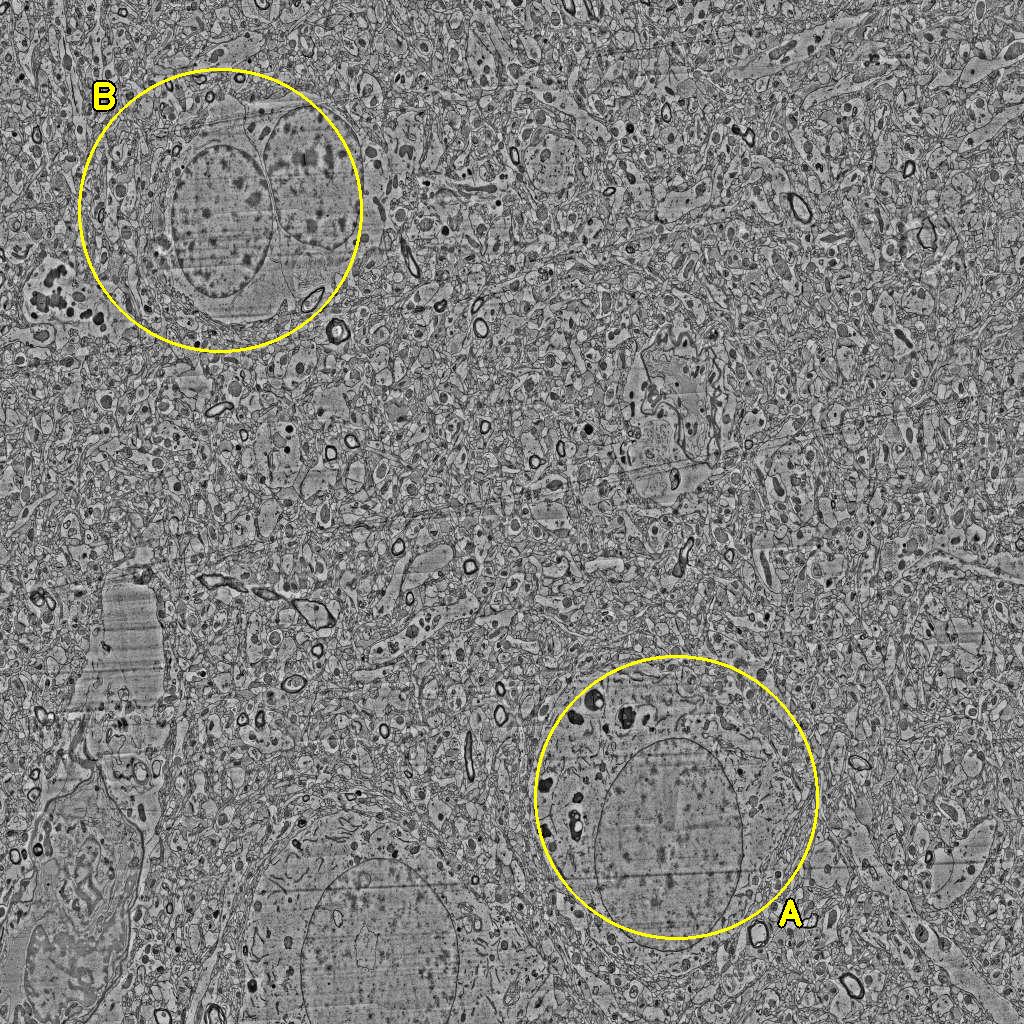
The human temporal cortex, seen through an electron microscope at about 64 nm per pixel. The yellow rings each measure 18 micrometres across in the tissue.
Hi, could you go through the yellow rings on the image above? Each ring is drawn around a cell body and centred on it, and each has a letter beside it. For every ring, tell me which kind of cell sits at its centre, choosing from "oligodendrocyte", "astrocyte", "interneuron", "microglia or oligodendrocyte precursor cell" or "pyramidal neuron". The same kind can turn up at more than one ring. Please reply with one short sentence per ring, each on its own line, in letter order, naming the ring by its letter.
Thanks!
Ring A is centred on a pyramidal neuron.
Ring B is centred on an astrocyte.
